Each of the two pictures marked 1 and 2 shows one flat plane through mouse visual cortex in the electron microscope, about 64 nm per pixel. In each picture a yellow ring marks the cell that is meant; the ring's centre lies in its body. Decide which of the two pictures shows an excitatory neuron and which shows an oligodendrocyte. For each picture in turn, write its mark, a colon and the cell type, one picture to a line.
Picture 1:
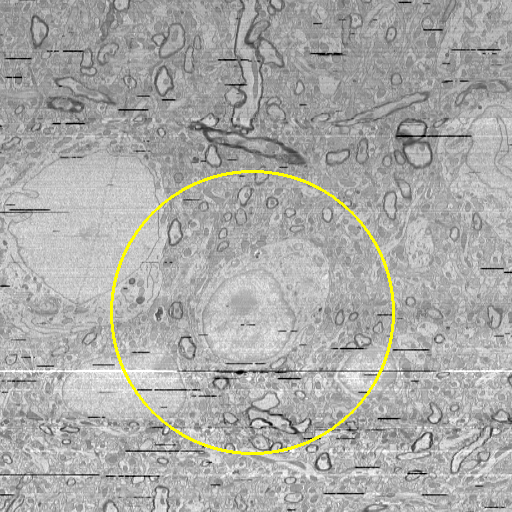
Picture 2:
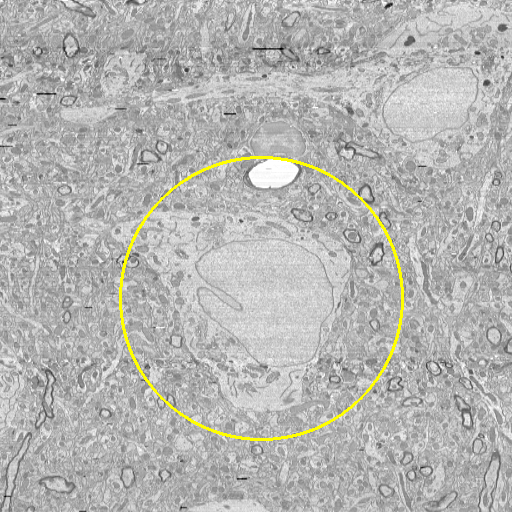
1: oligodendrocyte
2: excitatory neuron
